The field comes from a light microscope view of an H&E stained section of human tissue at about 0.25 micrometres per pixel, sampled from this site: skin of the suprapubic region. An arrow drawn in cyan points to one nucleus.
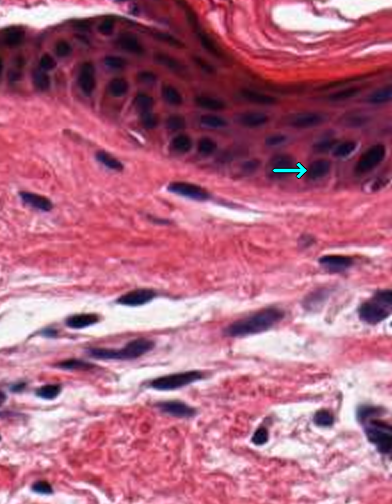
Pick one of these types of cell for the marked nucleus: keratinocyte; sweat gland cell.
keratinocyte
